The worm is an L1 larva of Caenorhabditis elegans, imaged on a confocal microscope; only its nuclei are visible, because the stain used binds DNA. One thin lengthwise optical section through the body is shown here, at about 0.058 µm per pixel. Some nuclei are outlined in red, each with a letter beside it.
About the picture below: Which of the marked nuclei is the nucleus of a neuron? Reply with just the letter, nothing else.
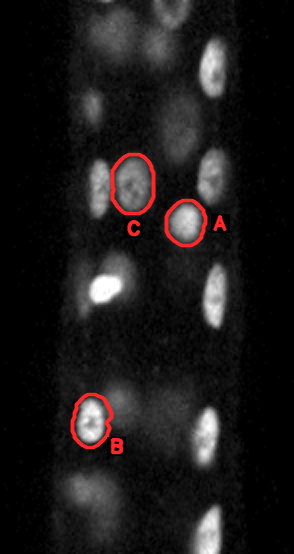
A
